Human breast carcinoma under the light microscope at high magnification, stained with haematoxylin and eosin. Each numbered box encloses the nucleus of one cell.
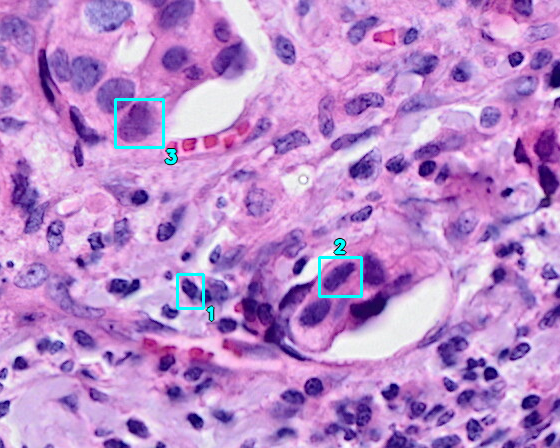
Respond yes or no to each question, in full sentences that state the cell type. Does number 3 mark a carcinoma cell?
Yes, regarding number 3, the cell is a carcinoma cell.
